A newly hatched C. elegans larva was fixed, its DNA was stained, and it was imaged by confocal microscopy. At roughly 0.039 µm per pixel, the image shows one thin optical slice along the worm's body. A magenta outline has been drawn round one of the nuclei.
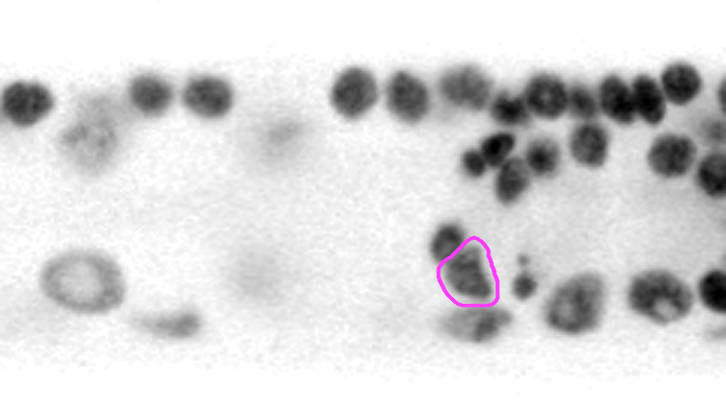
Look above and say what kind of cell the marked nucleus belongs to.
valve cell of the gut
